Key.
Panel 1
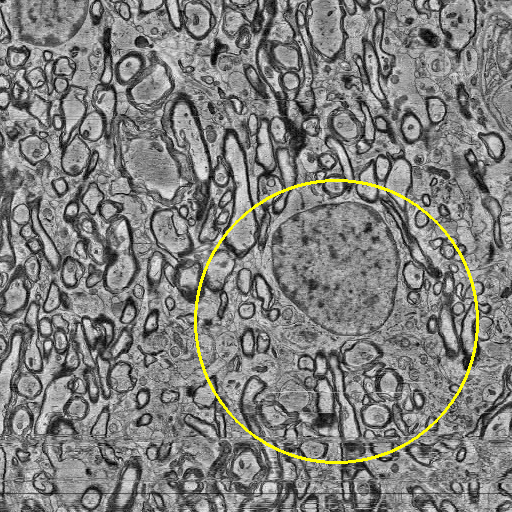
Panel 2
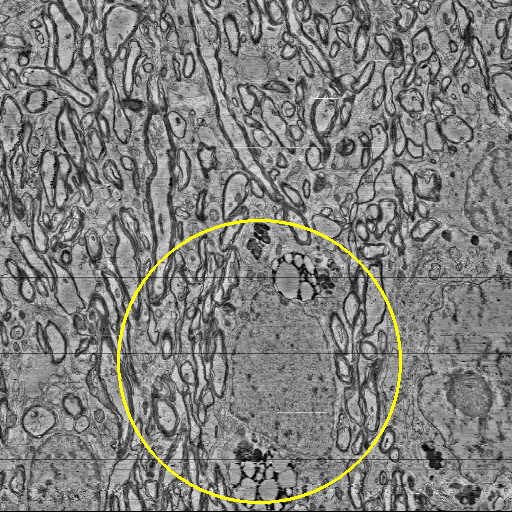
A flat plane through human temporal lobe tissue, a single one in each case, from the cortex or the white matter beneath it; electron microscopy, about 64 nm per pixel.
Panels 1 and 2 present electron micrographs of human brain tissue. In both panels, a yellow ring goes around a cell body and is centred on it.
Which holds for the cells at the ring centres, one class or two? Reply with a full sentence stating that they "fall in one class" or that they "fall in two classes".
Taken together, the ring-centre cells of the two panels fall in two classes.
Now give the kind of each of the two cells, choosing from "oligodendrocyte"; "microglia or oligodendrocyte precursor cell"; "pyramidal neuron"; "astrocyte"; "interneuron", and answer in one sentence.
The cell in the first picture is a microglial cell or oligodendrocyte precursor cell, and the cell in the second is an astrocyte.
